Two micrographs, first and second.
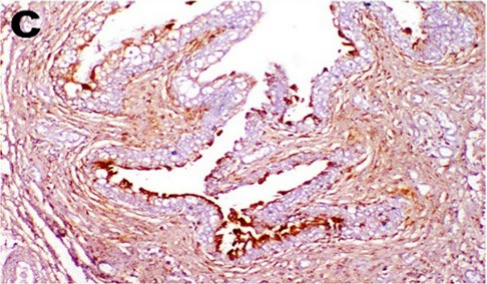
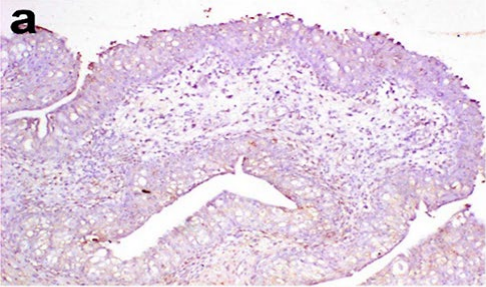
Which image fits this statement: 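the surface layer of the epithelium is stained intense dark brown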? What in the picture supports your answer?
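First image: dark brown deposits line the luminal surface of the epithelium. Second image: the epithelium is mostly blue-purple with only faint brownish tinge. That points to this answer: the first image.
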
